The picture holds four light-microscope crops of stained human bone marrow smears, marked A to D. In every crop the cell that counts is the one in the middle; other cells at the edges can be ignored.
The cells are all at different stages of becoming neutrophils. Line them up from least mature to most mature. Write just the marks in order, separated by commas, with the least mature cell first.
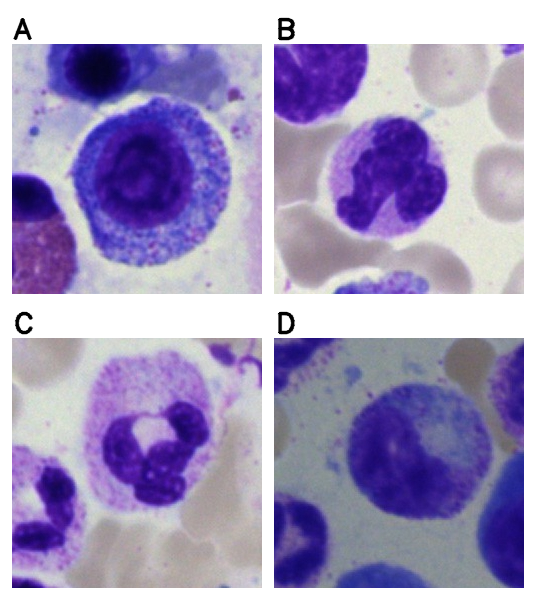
A, D, B, C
